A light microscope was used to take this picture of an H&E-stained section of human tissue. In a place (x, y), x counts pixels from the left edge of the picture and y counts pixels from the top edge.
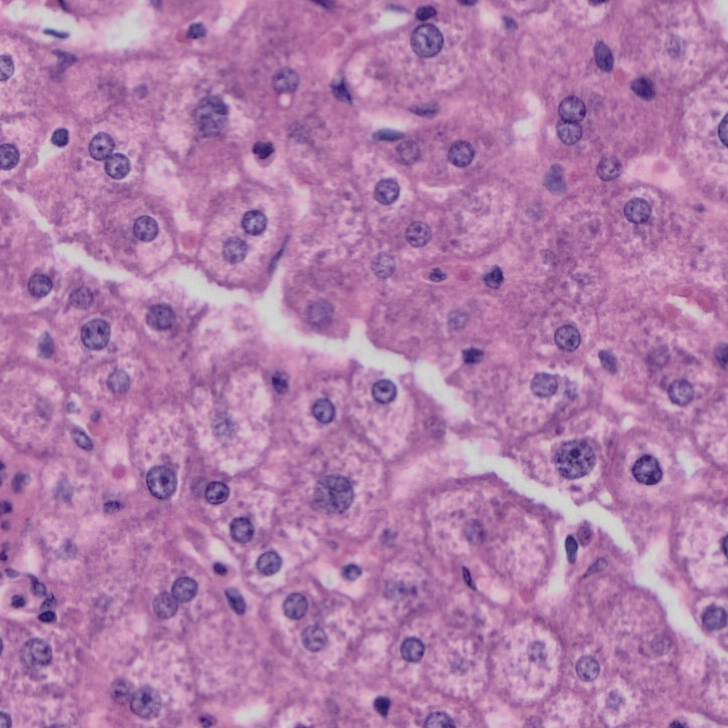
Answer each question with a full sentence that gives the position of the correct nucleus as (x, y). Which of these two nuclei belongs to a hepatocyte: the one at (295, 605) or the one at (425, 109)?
Of the two, the nucleus at (295, 605) is the one contained in a hepatocyte.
